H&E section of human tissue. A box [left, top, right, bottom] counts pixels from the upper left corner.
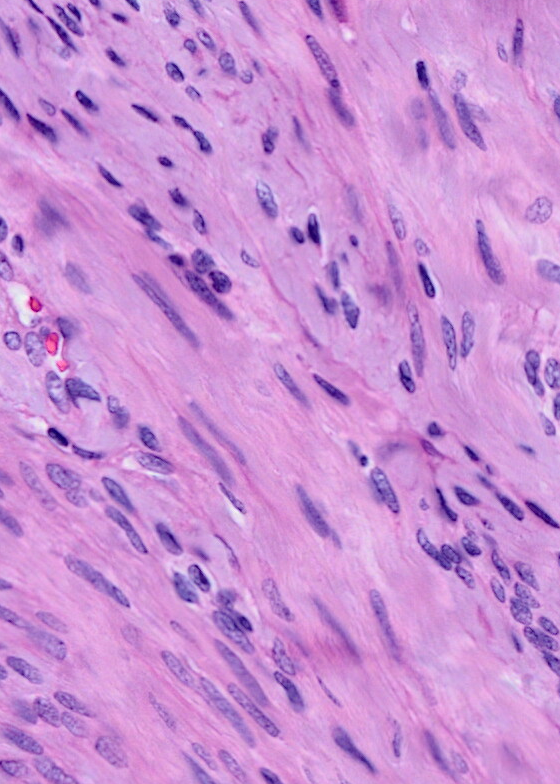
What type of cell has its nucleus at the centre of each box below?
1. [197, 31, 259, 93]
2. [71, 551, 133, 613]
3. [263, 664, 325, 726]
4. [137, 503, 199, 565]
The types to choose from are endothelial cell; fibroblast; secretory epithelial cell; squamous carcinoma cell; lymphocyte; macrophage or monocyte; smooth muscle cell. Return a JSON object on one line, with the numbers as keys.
{"1": "smooth muscle cell", "2": "fibroblast", "3": "fibroblast", "4": "fibroblast"}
